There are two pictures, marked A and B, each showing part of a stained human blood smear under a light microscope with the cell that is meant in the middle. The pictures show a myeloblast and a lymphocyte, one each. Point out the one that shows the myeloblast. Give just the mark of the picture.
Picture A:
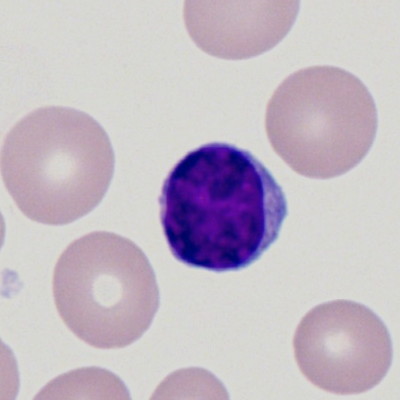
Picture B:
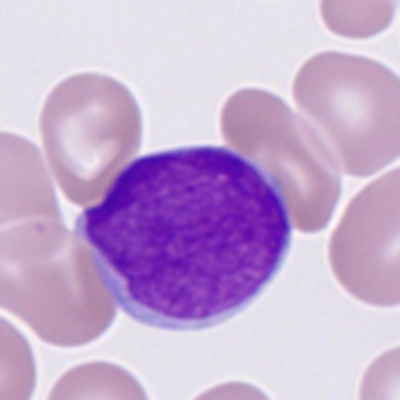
B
